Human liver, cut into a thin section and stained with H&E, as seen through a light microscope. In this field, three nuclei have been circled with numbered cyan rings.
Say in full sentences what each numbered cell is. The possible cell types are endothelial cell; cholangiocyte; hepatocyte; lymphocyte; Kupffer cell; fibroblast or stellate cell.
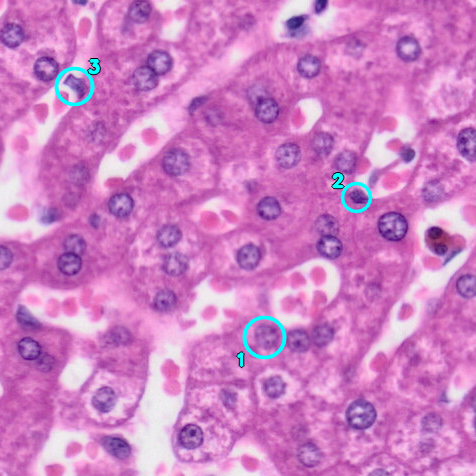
Cell 1 is a hepatocyte. Cell 2 is a fibroblast or stellate cell. Cell 3 is an endothelial cell.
